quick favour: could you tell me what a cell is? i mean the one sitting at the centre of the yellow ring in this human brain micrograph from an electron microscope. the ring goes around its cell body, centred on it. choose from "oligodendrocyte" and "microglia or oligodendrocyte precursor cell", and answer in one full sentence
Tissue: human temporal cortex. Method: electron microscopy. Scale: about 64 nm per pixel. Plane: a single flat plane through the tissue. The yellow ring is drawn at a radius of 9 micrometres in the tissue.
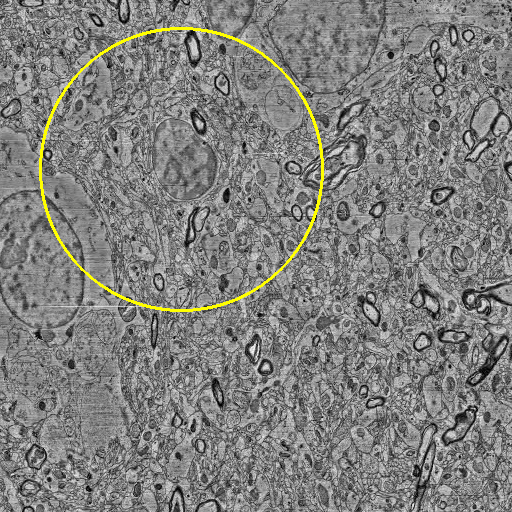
That's a microglial cell or oligodendrocyte precursor cell, the cell sitting at the centre of the yellow ring.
